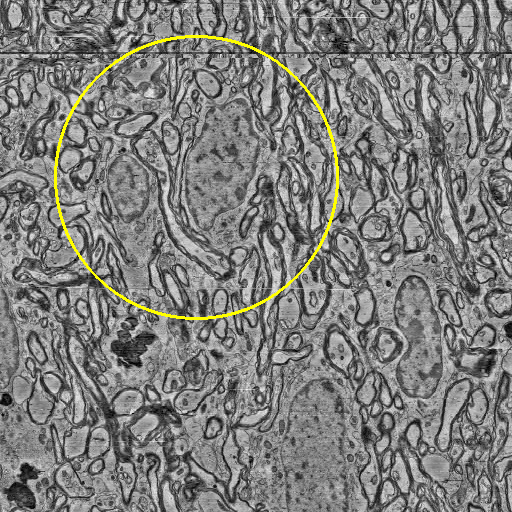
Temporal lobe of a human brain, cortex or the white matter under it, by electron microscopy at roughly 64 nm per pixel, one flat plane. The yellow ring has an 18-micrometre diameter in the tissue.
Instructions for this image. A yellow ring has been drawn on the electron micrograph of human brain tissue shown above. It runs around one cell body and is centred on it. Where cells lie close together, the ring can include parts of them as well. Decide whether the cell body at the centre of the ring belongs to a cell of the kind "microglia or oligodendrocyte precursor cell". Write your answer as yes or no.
yes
